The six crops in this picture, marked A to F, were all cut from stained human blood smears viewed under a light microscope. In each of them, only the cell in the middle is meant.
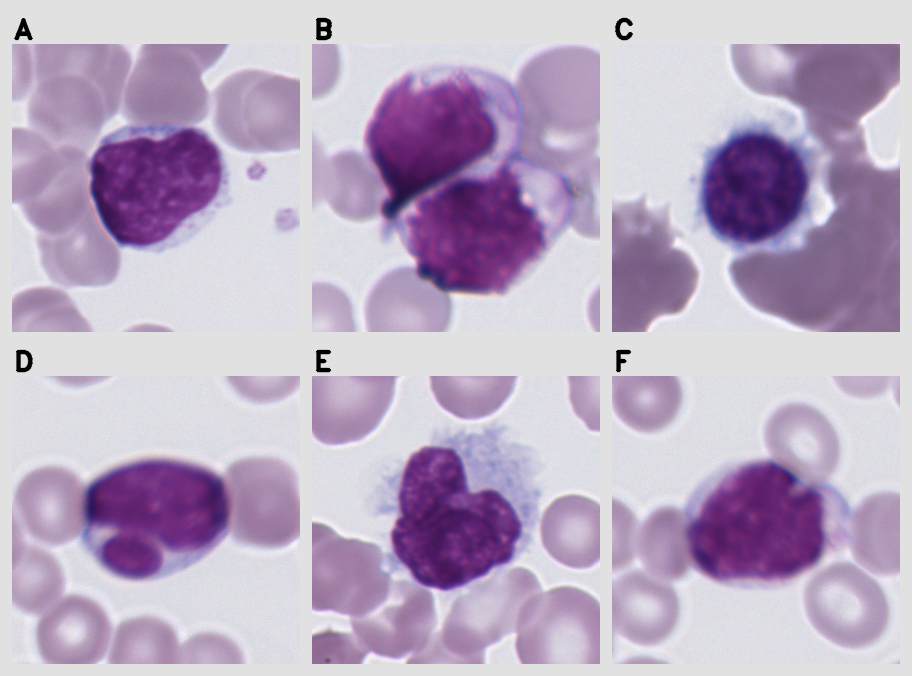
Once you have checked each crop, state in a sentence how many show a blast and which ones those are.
No crop displays blasts, and so the count of them is zero.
